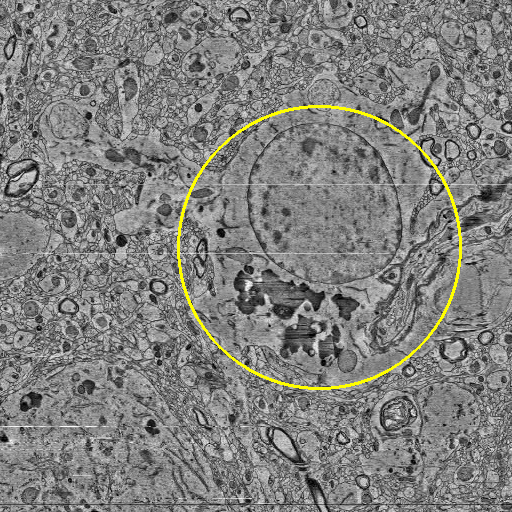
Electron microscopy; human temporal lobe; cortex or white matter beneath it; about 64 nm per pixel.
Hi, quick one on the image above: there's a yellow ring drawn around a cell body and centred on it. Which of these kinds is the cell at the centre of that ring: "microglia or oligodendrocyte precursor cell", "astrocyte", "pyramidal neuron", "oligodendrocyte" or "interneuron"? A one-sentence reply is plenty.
The cell at the centre of the ring is an astrocyte.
